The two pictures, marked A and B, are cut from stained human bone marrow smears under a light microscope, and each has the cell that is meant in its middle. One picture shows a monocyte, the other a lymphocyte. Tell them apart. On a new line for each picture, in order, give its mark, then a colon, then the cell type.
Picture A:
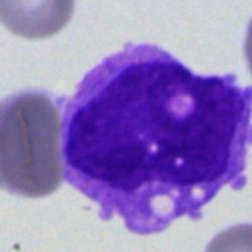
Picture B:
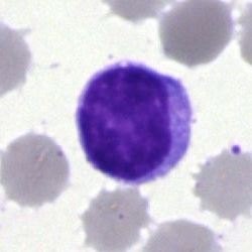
A: monocyte
B: lymphocyte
